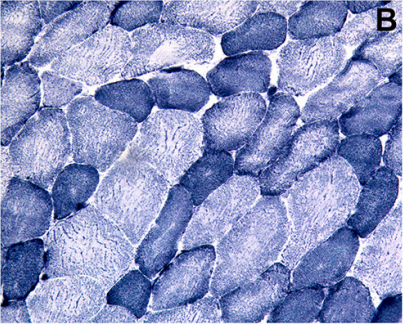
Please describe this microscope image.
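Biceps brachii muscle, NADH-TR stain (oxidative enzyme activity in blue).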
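The fibers are polygonal to oval and closely packed, with thin pale spaces between them. Darker blue fibers are intermingled with paler ones in a mosaic pattern. Within many fibers the blue staining is uneven, with mottled pale patches and irregular zones of reduced staining.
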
